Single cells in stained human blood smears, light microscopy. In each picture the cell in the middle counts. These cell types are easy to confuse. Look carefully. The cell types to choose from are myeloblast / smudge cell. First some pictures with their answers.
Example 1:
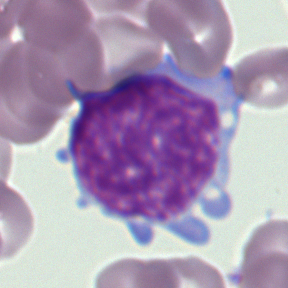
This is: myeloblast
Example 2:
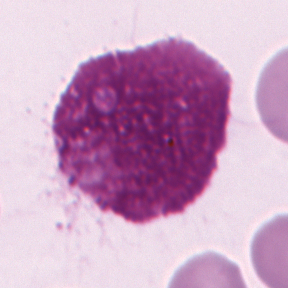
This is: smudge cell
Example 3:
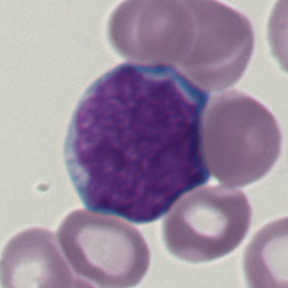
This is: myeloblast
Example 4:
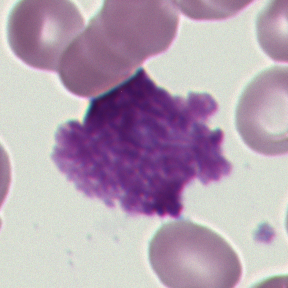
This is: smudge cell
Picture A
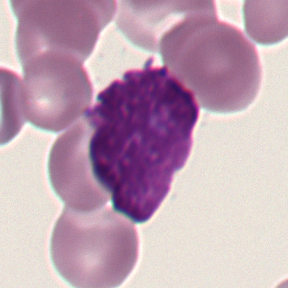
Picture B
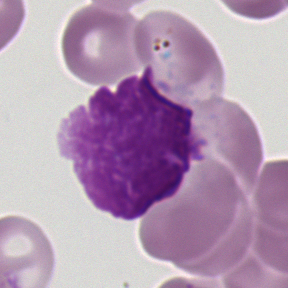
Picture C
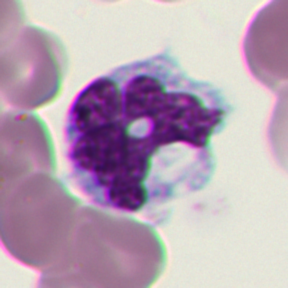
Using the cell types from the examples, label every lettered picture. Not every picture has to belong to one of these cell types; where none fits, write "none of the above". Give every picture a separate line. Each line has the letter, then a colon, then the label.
A: smudge cell
B: smudge cell
C: none of the above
